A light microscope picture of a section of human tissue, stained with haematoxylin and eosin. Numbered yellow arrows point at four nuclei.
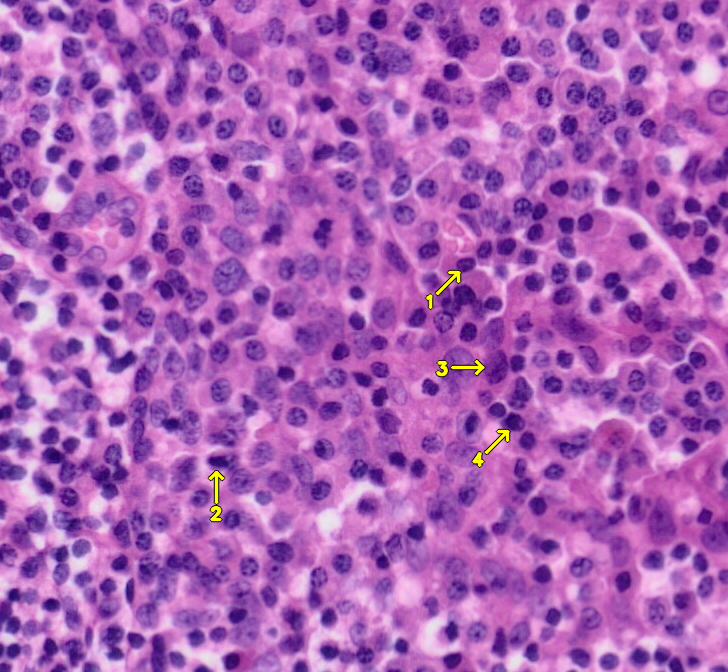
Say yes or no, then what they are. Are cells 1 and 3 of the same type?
No, cell 1 is a plasma cell and cell 3 is a squamous epithelial cell.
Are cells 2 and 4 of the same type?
Yes, the numbered cells 2 and 4 are both plasma cells.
